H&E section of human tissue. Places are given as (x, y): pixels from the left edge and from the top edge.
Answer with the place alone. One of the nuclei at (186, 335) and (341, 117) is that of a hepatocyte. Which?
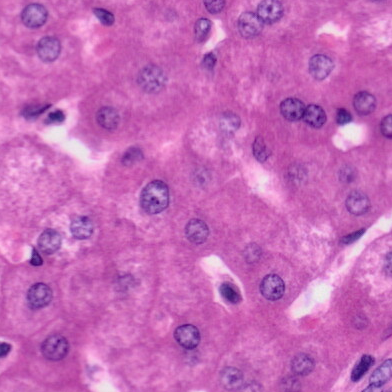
(186, 335)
